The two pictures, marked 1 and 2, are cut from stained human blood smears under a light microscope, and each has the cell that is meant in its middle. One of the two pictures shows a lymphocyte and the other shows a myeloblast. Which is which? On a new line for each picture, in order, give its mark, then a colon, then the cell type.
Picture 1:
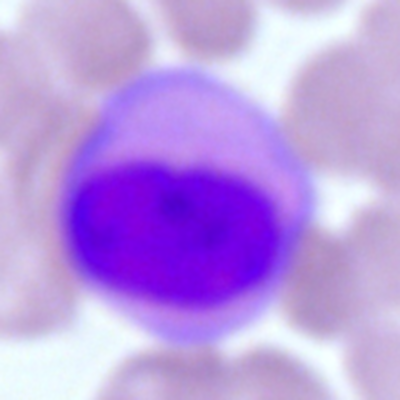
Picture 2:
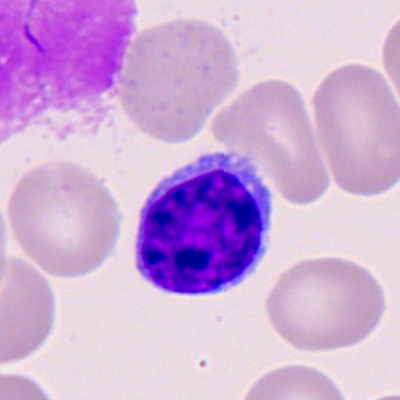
1: myeloblast
2: lymphocyte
